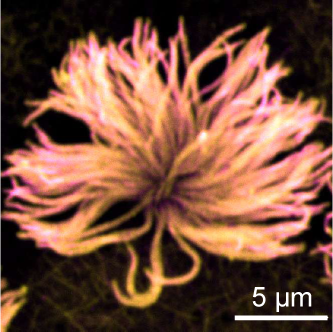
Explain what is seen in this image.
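This shows the ciliary tuft of a single multiciliated cell seen from above. Dozens of long, slender cilia fan out from a central apical surface like a bouquet, curving and overlapping as they radiate outward. The cilia are of broadly similar length and width, forming a dense brush, and no cell body or nucleus is resolved beneath them.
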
